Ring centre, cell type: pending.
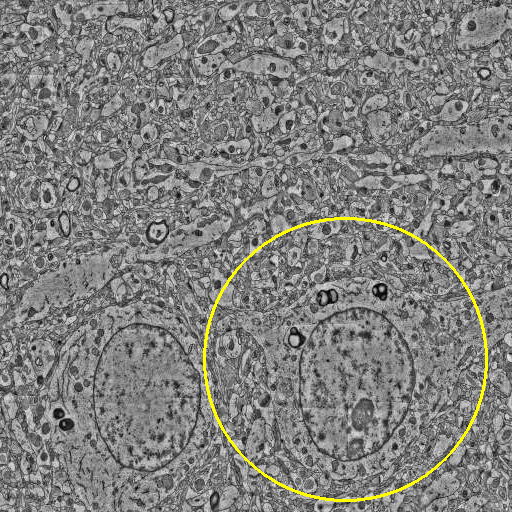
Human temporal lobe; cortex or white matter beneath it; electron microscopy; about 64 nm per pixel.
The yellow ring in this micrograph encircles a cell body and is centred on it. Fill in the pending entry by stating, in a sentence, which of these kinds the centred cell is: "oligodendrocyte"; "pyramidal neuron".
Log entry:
The centred cell is recorded as a pyramidal neuron.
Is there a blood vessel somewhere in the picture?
No, none shows.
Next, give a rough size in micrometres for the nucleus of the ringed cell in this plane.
In this plane, the nucleus of the cell at the centre of the ring measures about 10 by 8 micrometres.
